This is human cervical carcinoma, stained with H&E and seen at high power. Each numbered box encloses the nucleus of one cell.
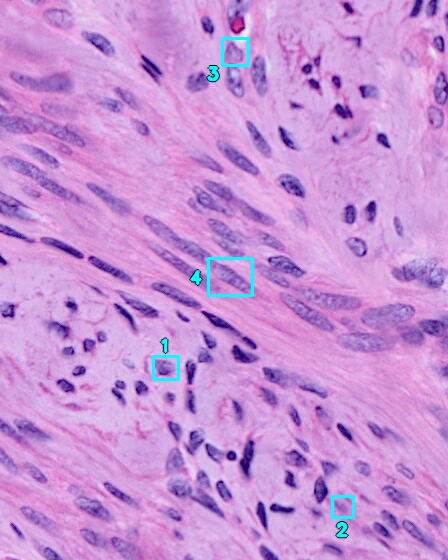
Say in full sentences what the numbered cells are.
Cells 1, 2 and 4 are smooth muscle cells. Cell 3 is an endothelial cell.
